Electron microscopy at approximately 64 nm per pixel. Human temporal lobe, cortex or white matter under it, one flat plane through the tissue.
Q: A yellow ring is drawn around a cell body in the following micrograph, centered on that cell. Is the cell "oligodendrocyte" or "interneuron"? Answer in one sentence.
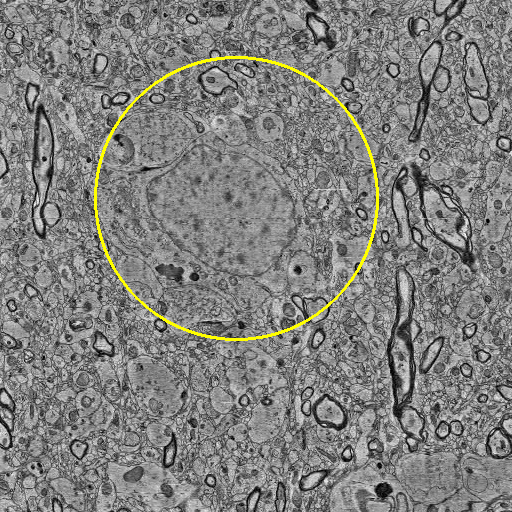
The cell in the center of the ring is an interneuron.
